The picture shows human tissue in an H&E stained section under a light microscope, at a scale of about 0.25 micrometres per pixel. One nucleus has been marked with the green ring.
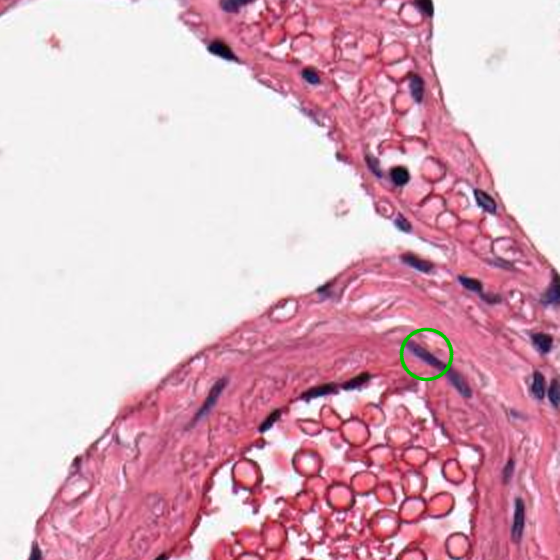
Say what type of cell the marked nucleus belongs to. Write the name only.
smooth muscle cell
